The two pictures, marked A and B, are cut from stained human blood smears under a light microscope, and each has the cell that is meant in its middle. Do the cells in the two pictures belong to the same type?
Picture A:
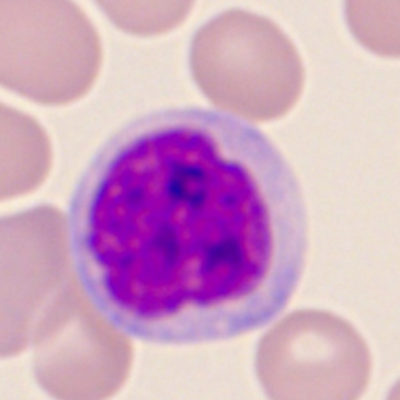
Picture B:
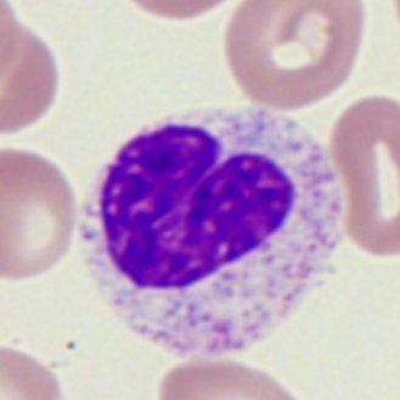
no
